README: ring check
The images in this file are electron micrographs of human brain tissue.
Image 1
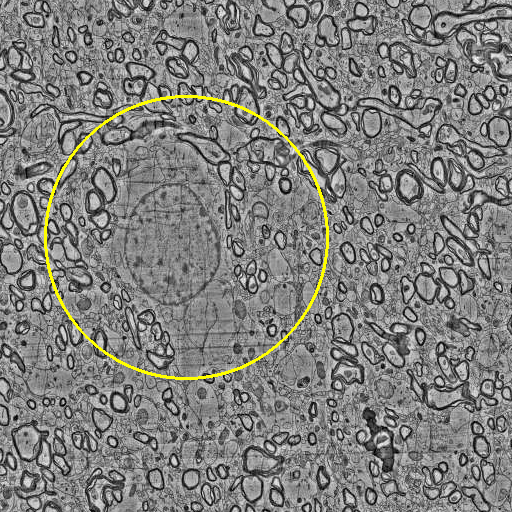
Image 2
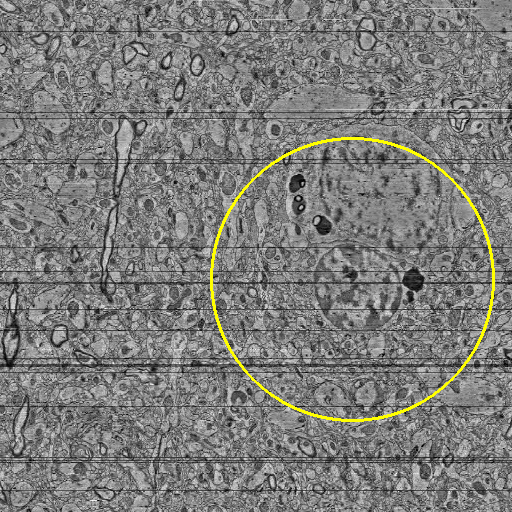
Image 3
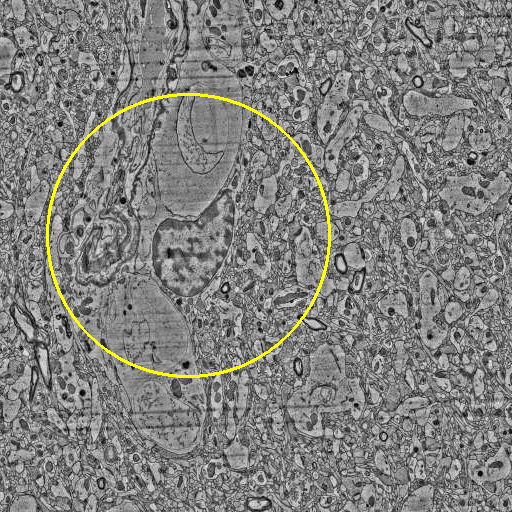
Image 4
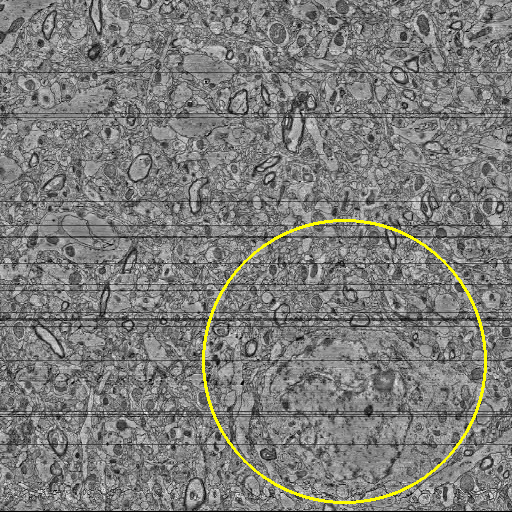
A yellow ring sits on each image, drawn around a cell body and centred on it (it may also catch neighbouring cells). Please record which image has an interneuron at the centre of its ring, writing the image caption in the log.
Image 4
